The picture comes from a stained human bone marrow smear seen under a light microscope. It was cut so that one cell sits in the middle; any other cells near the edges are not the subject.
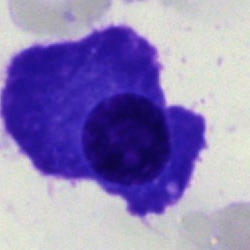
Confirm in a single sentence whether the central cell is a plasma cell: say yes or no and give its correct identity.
Yes, the cell occupying the center is a plasma cell.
